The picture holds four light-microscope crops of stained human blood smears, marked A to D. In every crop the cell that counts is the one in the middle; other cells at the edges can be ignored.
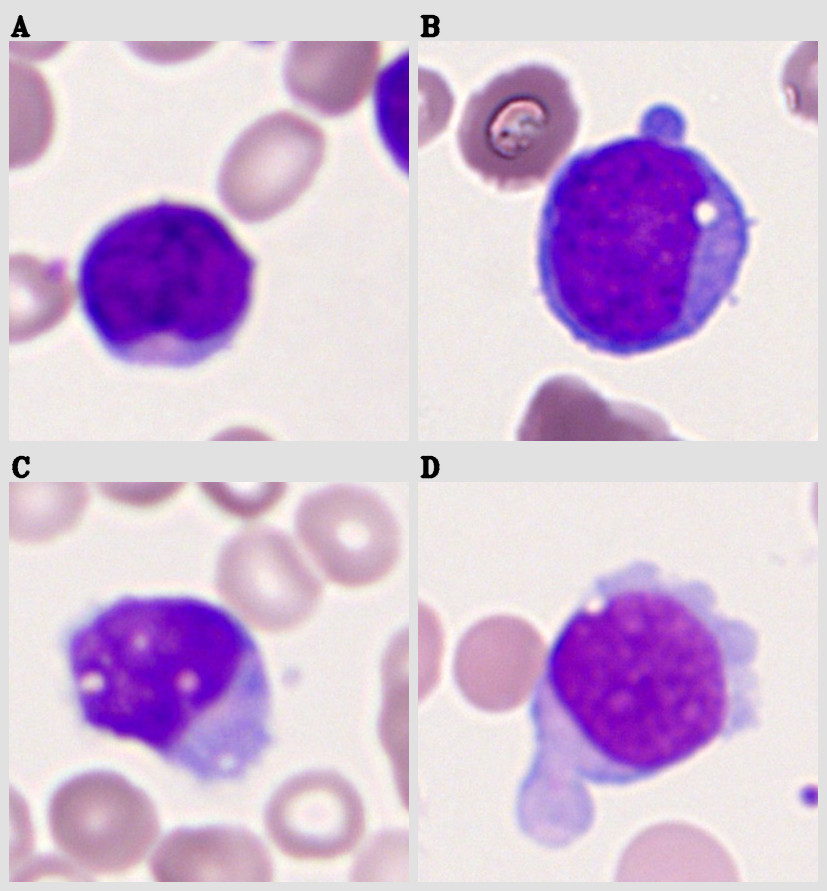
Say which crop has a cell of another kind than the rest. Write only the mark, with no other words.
C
